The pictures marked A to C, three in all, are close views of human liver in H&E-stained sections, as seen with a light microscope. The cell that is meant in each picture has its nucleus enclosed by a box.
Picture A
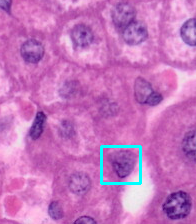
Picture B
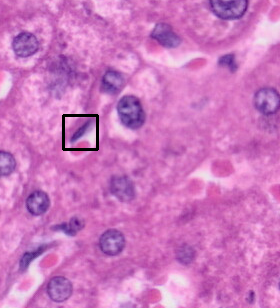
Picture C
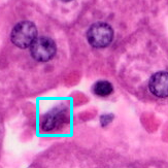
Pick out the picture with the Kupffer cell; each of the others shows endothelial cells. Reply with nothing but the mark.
C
